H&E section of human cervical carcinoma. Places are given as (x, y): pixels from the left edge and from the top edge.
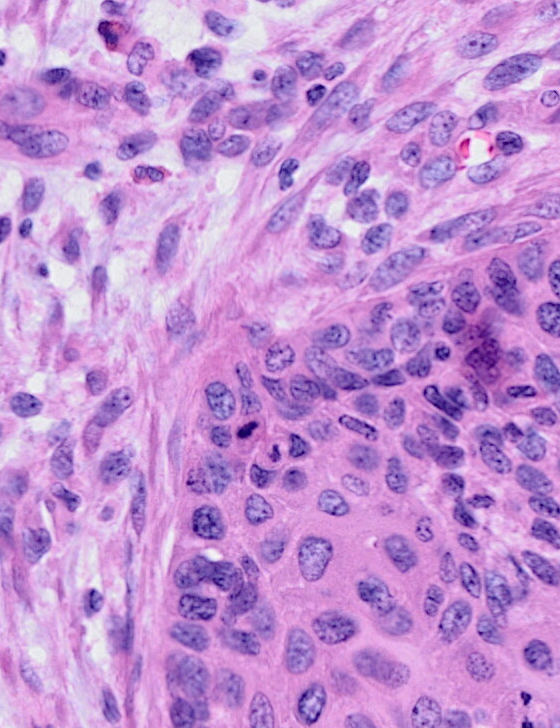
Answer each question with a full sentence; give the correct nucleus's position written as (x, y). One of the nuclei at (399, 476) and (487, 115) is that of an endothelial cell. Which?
Rather than the other nucleus, the one at (487, 115) belongs to an endothelial cell.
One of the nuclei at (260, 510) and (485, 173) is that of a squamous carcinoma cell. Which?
The nucleus at (260, 510) belongs to a squamous carcinoma cell, which distinguishes it from the other nucleus.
